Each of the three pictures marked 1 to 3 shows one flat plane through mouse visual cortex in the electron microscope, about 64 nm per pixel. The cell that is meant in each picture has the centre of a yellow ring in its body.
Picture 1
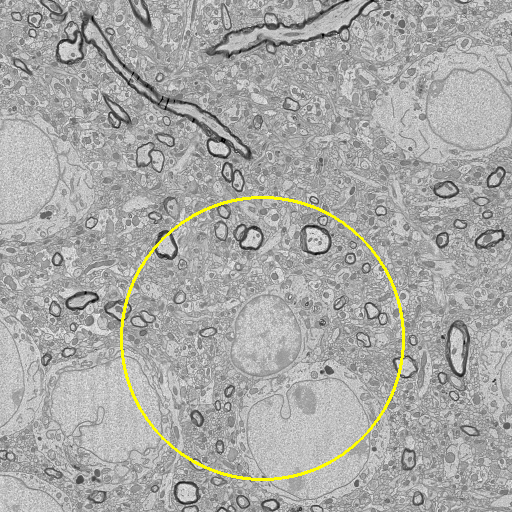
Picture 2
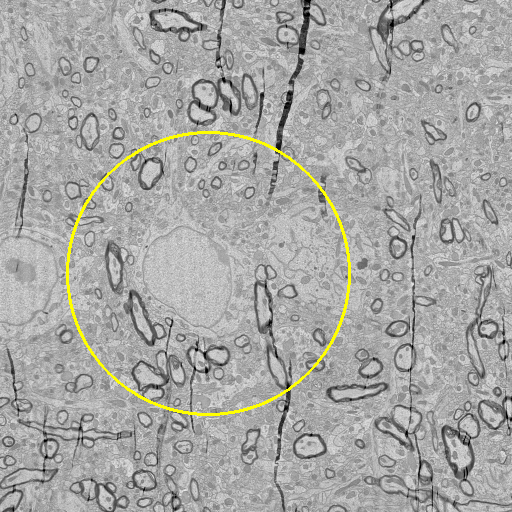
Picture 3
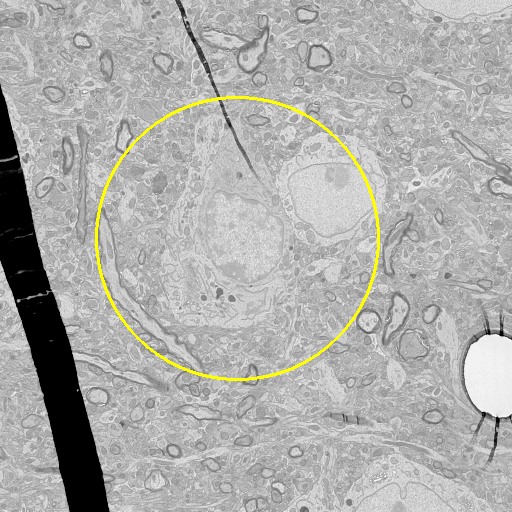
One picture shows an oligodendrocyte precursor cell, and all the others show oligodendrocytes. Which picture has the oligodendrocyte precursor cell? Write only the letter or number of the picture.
2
